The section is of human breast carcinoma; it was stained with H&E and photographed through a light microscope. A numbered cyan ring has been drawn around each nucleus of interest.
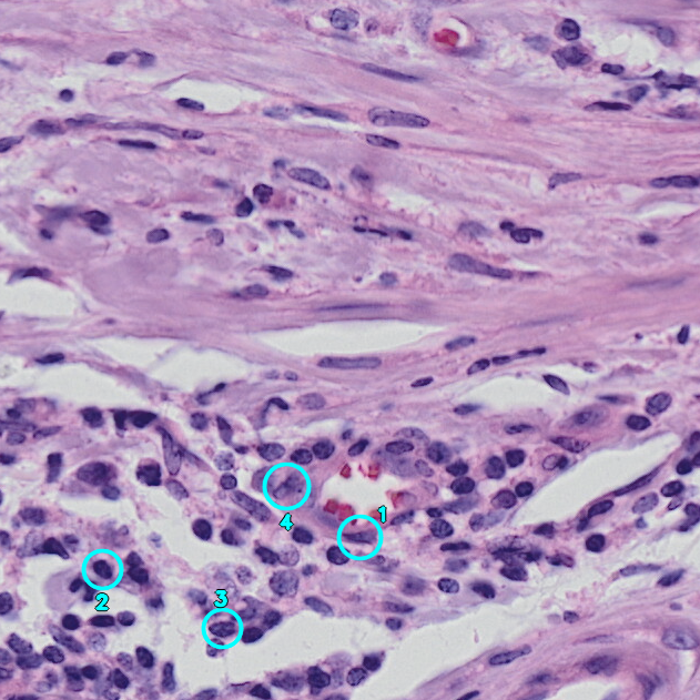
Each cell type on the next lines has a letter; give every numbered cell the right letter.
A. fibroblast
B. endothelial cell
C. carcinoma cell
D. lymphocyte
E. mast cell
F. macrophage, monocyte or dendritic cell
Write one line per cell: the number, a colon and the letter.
1: B
2: D
3: D
4: B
